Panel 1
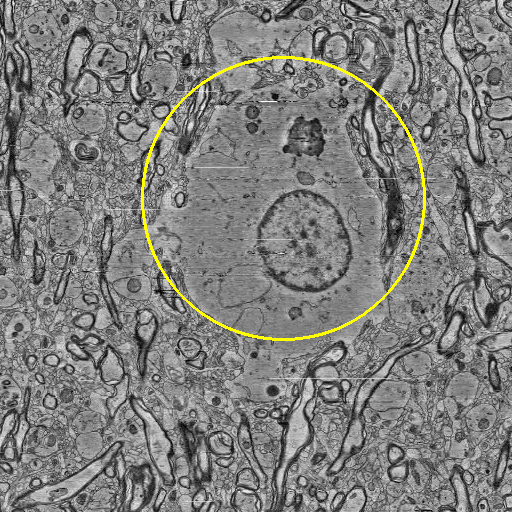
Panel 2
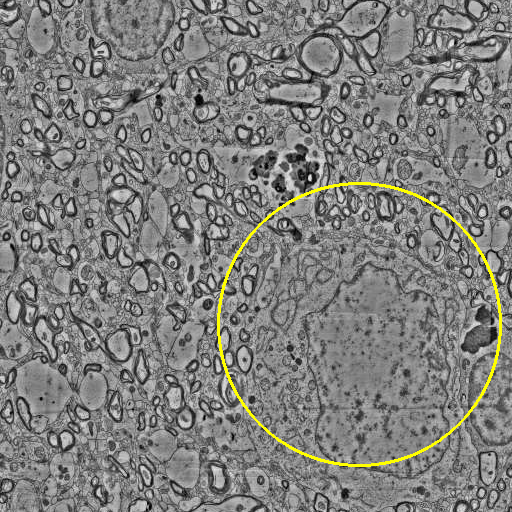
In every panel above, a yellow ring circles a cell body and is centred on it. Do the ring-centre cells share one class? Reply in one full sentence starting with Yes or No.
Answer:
No, the two cells at the ring centres in the panels belong to two classes.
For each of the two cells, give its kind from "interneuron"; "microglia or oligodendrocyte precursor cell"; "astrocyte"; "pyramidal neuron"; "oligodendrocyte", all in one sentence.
The first picture has an astrocyte in its ring, the second has an interneuron.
